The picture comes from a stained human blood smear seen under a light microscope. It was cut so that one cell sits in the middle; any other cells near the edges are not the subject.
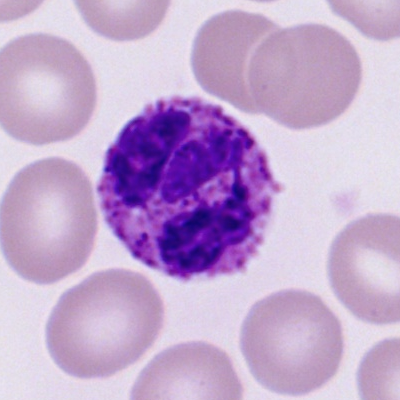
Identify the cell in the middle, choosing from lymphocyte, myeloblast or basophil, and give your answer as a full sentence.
The middle position in this crop is taken by a basophil.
